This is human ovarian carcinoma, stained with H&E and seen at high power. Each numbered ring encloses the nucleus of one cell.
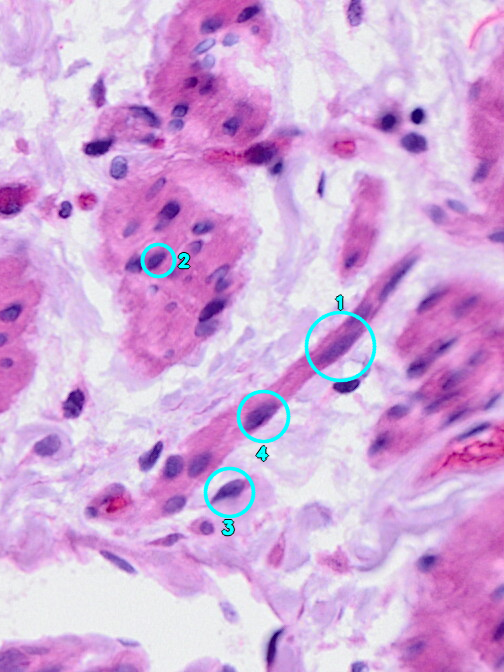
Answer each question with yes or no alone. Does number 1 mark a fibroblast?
no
